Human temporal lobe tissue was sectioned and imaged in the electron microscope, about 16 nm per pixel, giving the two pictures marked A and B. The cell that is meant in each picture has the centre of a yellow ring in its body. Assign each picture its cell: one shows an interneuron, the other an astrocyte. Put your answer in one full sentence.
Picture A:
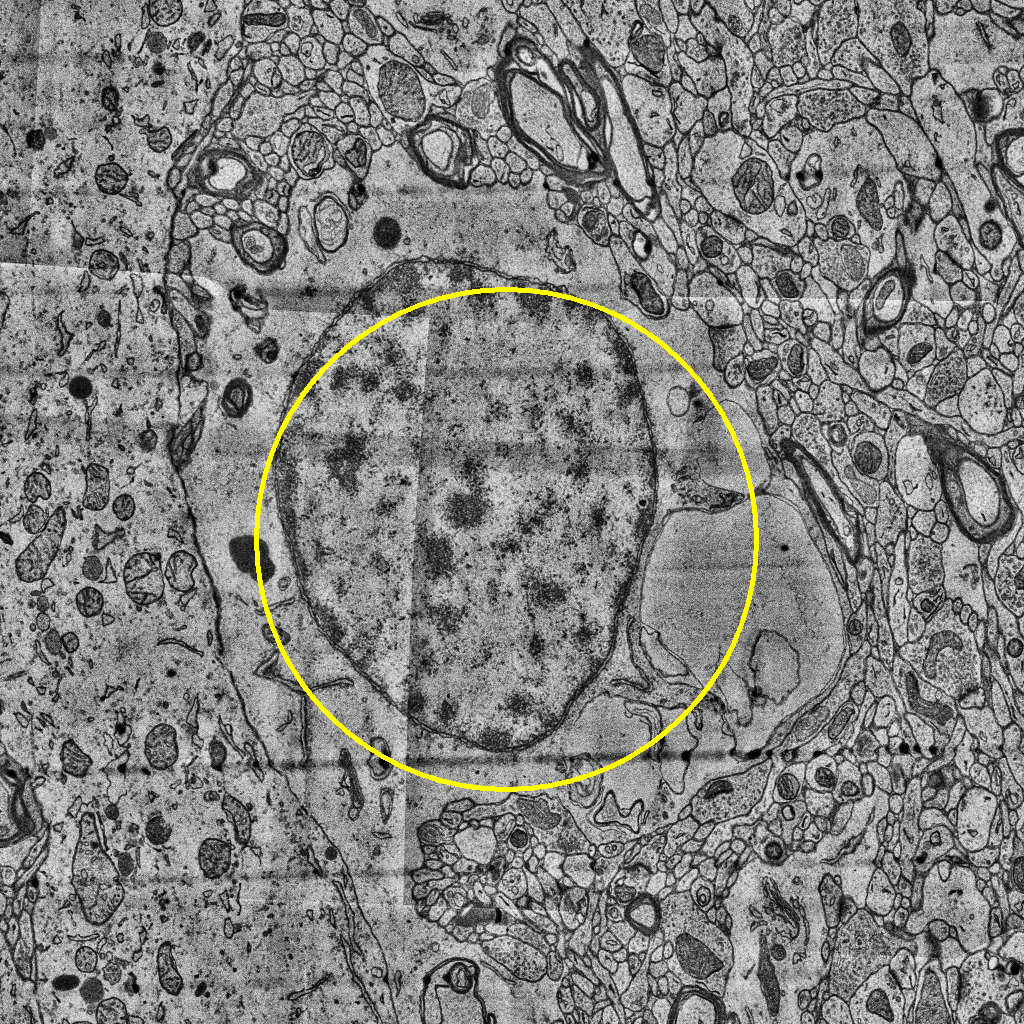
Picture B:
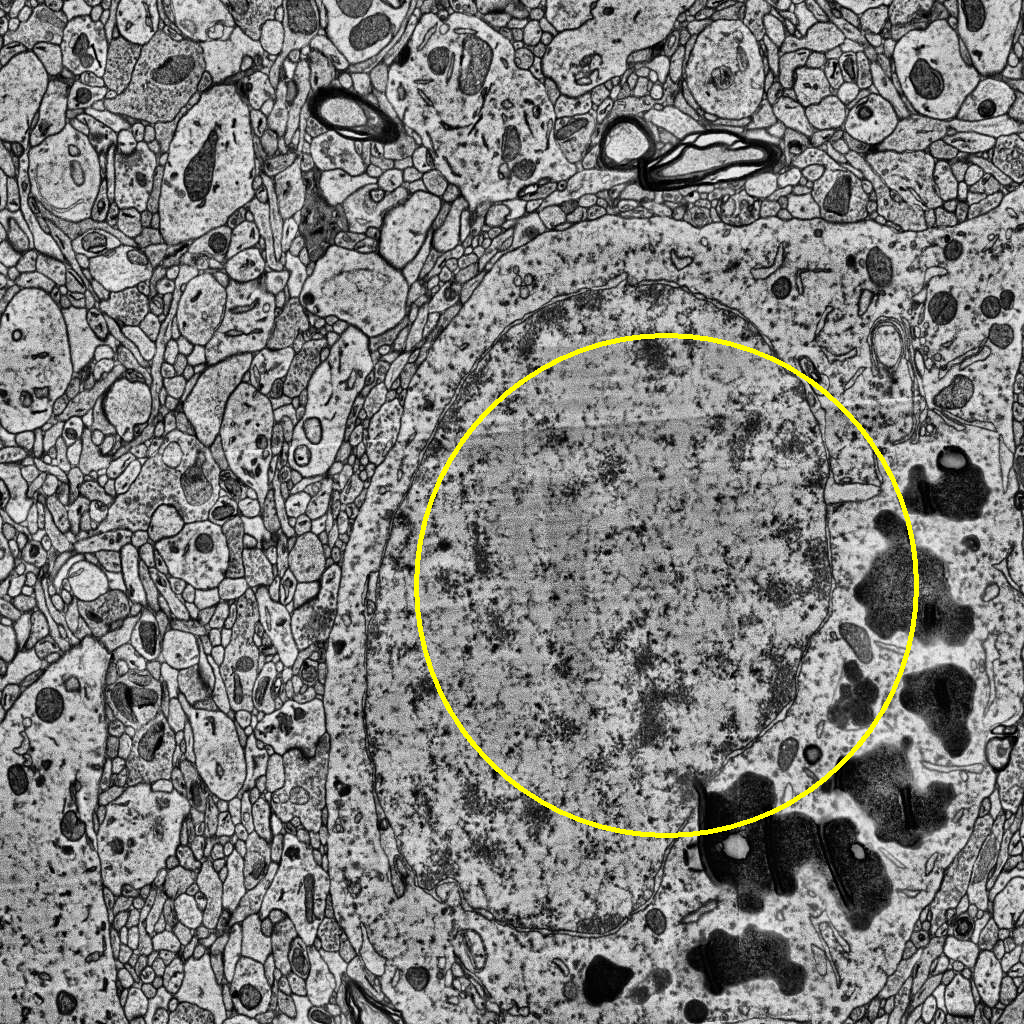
The cell in picture A is an astrocyte, and the one in picture B is an interneuron.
